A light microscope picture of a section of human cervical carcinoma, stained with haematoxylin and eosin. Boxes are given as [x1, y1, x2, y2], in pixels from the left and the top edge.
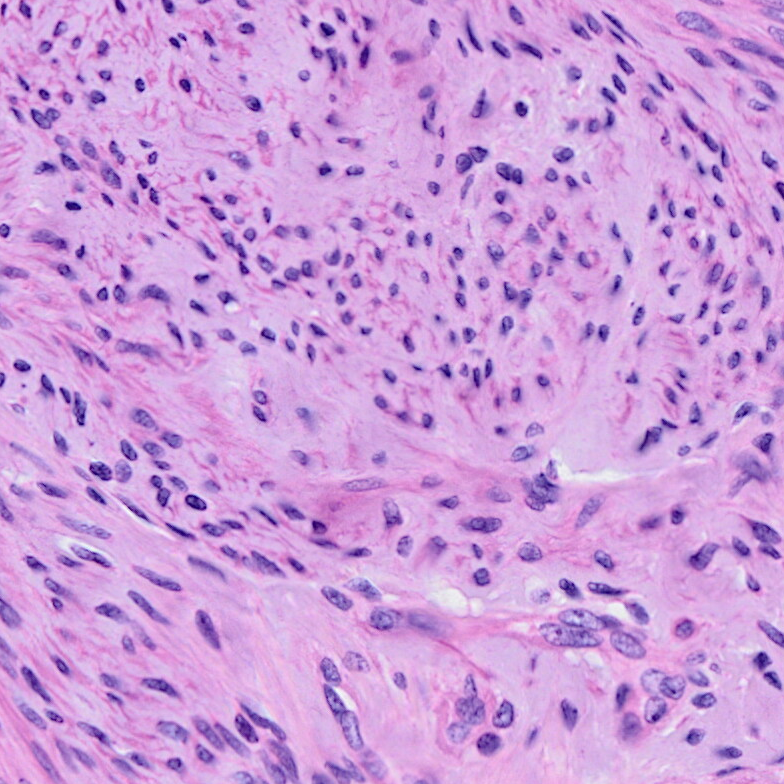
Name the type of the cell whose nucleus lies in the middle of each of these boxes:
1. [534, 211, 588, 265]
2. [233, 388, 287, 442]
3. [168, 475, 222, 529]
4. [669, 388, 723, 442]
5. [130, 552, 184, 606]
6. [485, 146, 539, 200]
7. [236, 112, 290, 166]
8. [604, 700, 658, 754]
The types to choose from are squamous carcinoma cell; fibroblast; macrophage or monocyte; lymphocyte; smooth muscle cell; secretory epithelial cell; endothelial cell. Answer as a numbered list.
1. smooth muscle cell
2. smooth muscle cell
3. lymphocyte
4. fibroblast
5. fibroblast
6. fibroblast
7. smooth muscle cell
8. endothelial cell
